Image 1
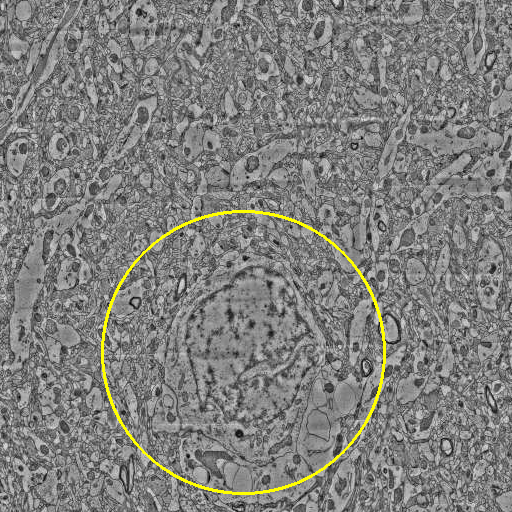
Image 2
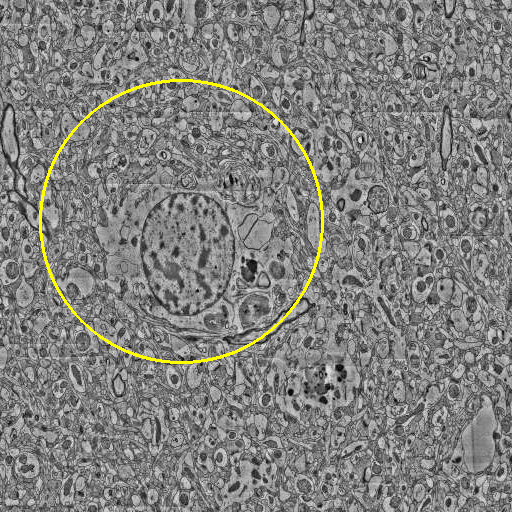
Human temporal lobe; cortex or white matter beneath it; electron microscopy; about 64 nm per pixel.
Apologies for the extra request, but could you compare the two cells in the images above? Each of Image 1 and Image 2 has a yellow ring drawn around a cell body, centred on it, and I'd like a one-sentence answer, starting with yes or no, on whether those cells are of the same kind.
No, the two cells are of two kinds.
